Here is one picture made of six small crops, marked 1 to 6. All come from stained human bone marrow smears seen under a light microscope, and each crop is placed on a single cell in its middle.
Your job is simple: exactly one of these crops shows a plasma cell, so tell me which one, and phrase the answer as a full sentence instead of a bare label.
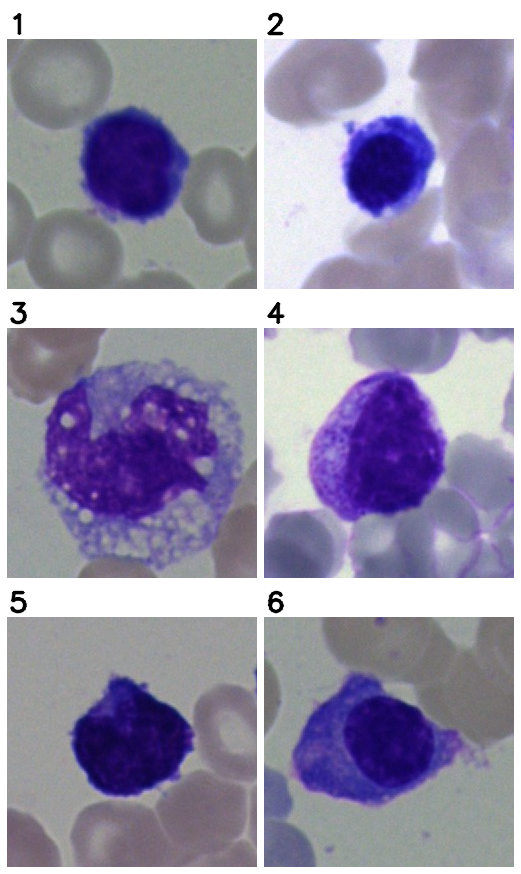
In this series, a plasma cell is shown by crop 6.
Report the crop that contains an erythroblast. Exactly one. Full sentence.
The requested cell, an erythroblast, is the one in crop 2.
